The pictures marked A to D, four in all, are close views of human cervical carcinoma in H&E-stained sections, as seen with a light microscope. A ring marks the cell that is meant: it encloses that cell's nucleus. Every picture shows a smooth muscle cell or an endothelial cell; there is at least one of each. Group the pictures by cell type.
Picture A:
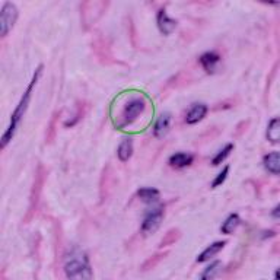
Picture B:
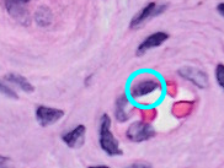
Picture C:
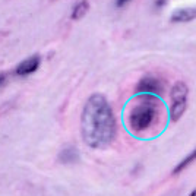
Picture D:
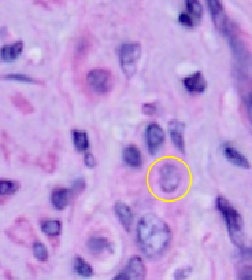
A: smooth muscle cell
B: endothelial cell
C: endothelial cell
D: endothelial cell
